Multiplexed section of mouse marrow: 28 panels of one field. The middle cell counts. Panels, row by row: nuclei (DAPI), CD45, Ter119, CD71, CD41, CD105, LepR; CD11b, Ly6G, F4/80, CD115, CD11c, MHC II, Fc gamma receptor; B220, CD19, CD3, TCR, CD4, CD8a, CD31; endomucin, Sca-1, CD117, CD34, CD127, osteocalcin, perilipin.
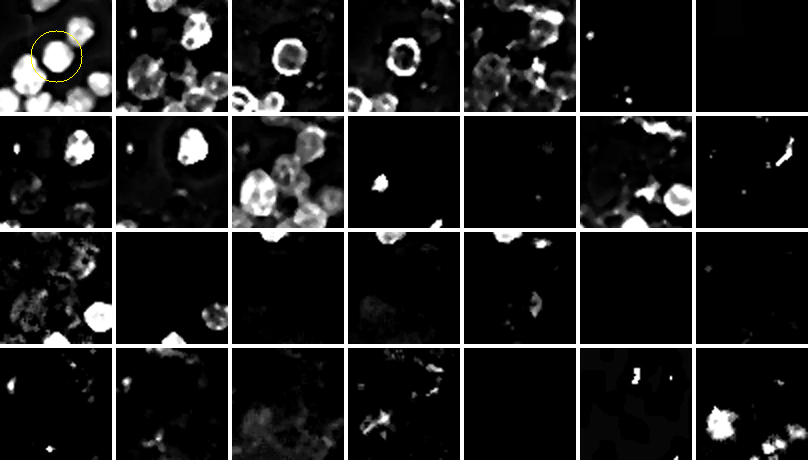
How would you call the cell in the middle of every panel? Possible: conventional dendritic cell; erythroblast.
I would call it an erythroblast.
